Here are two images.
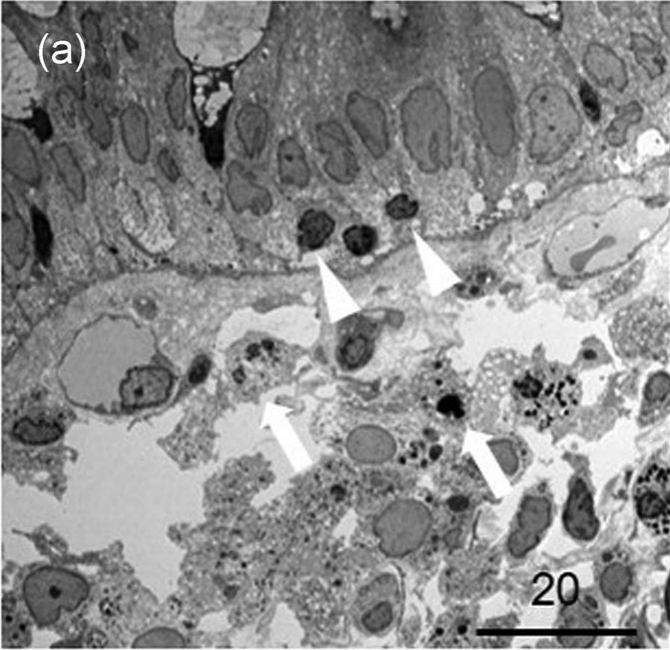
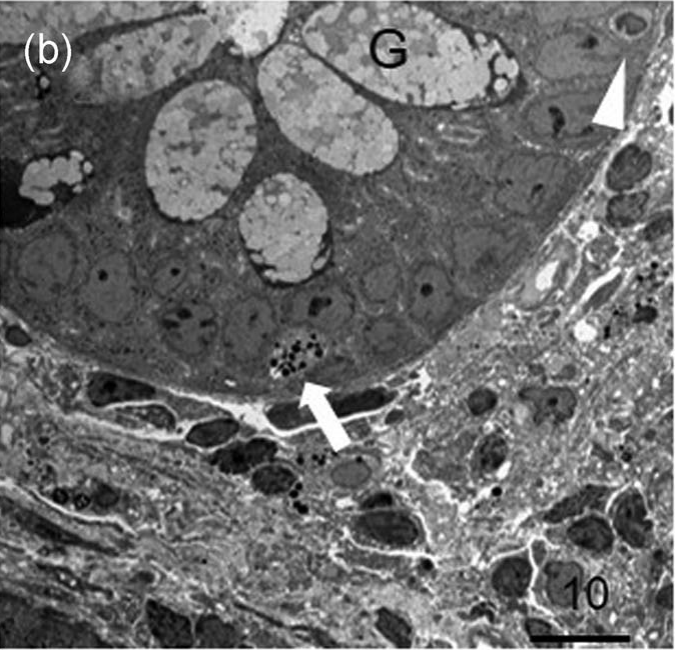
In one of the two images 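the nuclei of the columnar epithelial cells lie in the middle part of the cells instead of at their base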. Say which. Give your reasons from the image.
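Second image: epithelial nuclei form a row along the basal side of the cells next to the basement region.
Conclusion: the first image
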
